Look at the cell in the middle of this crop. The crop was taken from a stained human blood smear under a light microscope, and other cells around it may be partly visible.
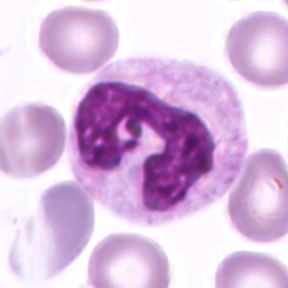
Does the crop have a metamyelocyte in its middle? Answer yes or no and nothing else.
no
